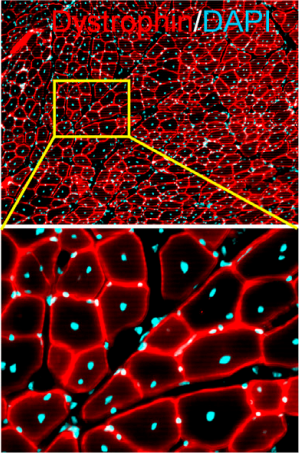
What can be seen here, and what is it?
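A cross section of skeletal muscle shows polygonal muscle fibers, each outlined by a red membrane rim. Many fibers hold a blue nucleus in their centre instead of at the periphery. Fiber sizes vary more than in normal muscle.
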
